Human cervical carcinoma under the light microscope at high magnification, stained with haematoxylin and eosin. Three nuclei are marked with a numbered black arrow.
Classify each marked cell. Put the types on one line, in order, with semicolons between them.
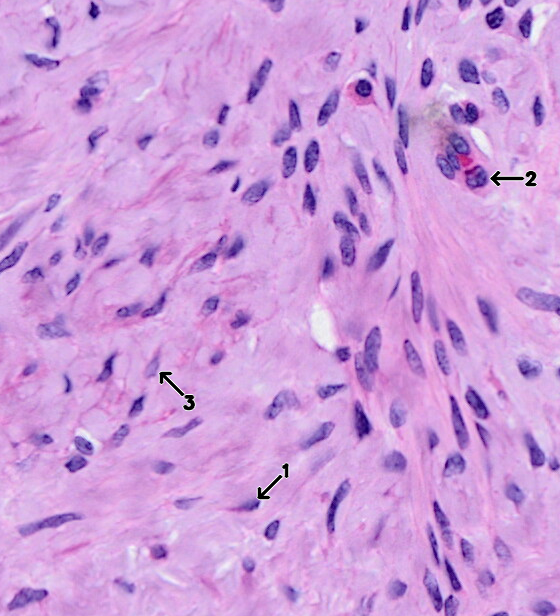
fibroblast; endothelial cell; smooth muscle cell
